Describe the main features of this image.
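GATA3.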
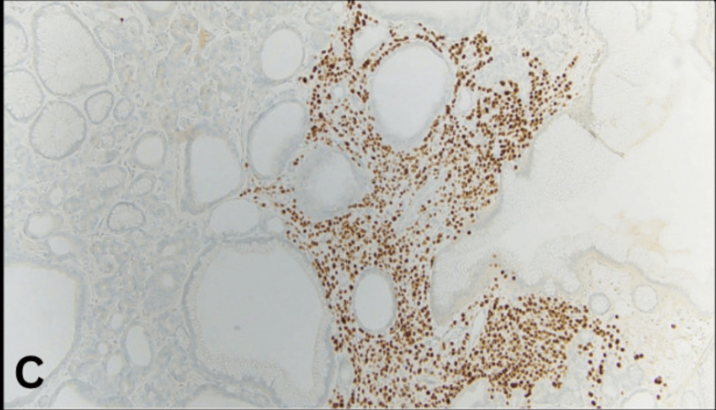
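Many small round brown nuclei crowd together in a broad band that runs down through the tissue. The glands around them, some of them rounded and widened, are lined by epithelium whose nuclei remain pale blue and unstained. The brown cells lie singly or in loose sheets rather than forming glands of their own, weaving between the native glands.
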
